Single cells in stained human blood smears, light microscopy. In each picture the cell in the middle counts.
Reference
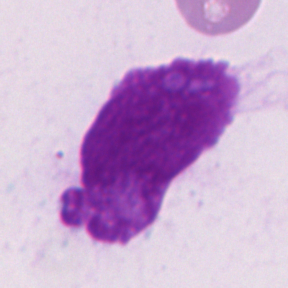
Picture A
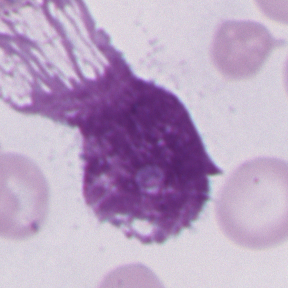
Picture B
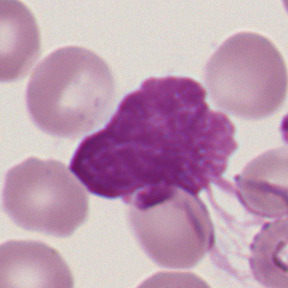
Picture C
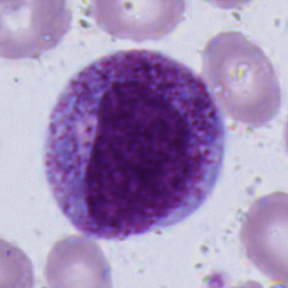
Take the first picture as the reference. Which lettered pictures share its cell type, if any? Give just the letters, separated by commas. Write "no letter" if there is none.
A, B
